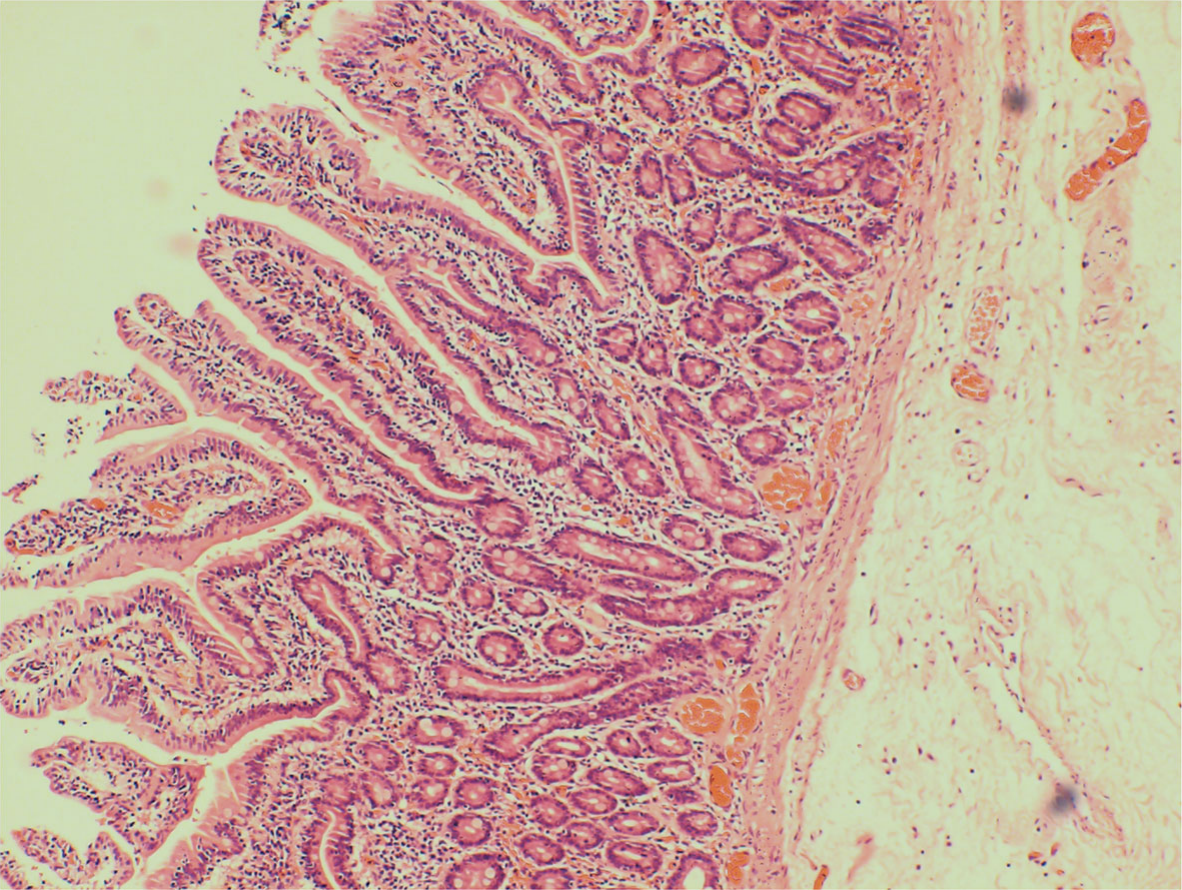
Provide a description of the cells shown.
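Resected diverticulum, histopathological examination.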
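This section shows intestinal-type mucosa with long, finger-like villi on the left and tightly packed round and oval crypts below them. Villi and crypts are lined by a single layer of columnar epithelium. Pale goblet cells lie scattered among the epithelial cells. The lamina propria between the crypts and in the villus cores is densely cellular, with many small dark nuclei. A thin pink band of smooth muscle separates the mucosa from the submucosa on the right. The submucosa is pale, loose and widely spaced, and it contains vessels filled with red blood cells; similar packed vessels lie along the base of the mucosa.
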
